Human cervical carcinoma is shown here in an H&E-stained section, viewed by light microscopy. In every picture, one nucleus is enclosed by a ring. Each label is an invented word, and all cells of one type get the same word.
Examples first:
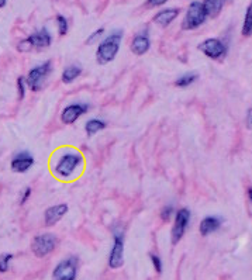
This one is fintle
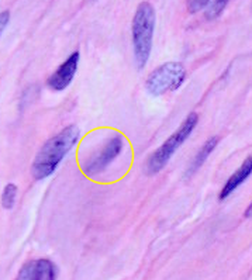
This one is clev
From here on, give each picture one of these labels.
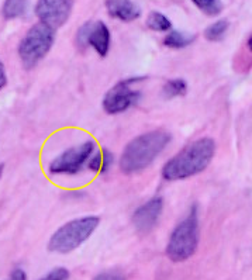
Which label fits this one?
clev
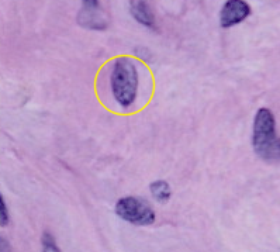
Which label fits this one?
clev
